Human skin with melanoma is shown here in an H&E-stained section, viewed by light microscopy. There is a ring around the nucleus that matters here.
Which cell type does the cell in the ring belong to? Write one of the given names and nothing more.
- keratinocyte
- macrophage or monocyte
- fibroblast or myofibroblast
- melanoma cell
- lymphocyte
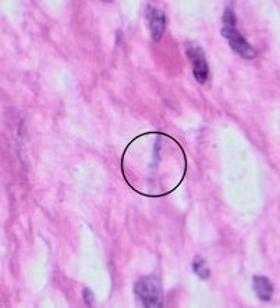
fibroblast or myofibroblast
